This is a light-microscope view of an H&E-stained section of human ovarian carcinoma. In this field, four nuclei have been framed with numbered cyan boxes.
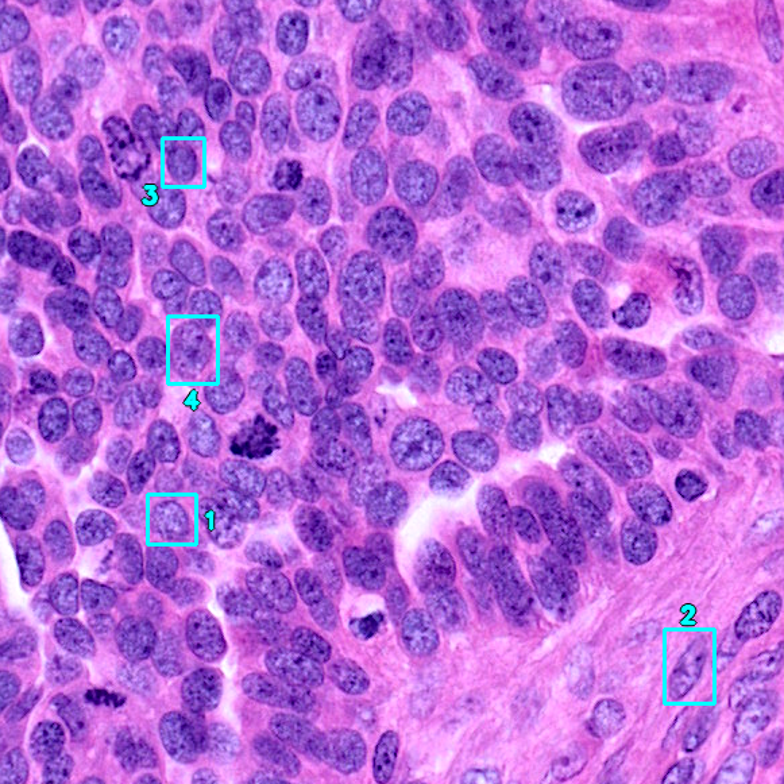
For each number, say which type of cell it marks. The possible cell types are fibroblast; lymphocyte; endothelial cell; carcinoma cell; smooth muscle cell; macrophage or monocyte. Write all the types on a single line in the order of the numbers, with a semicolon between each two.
carcinoma cell; fibroblast; carcinoma cell; carcinoma cell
